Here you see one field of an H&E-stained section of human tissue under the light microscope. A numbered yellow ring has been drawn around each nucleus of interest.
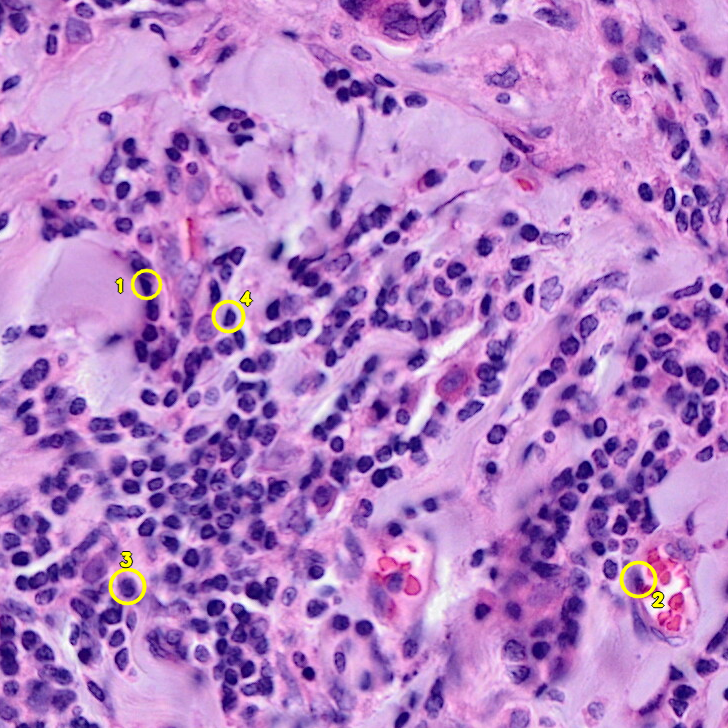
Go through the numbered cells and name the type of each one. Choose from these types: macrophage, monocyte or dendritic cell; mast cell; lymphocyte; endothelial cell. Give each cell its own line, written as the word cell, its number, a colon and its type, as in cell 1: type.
cell 1: lymphocyte
cell 2: endothelial cell
cell 3: lymphocyte
cell 4: lymphocyte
